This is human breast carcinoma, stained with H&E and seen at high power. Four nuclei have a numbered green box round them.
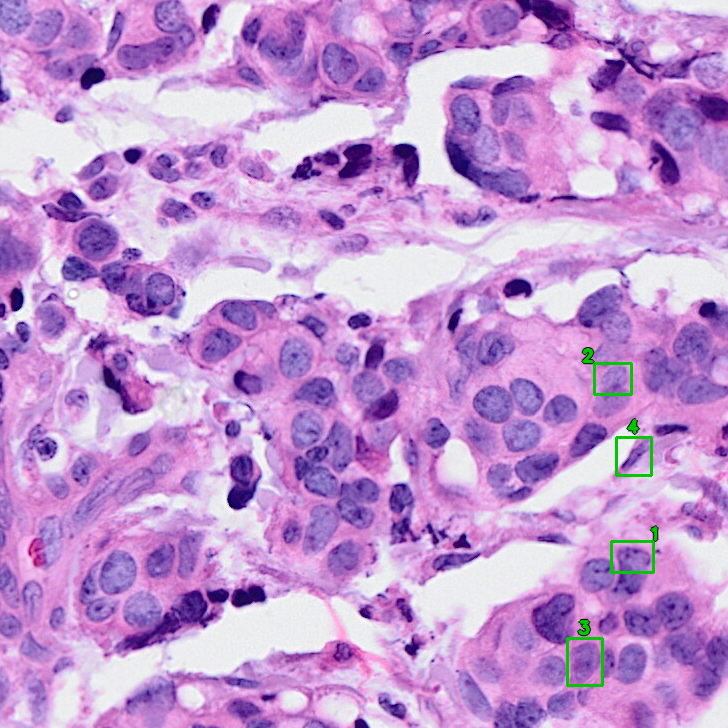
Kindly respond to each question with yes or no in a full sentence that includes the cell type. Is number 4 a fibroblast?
Yes, the cell to which number 4 refers is a fibroblast.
